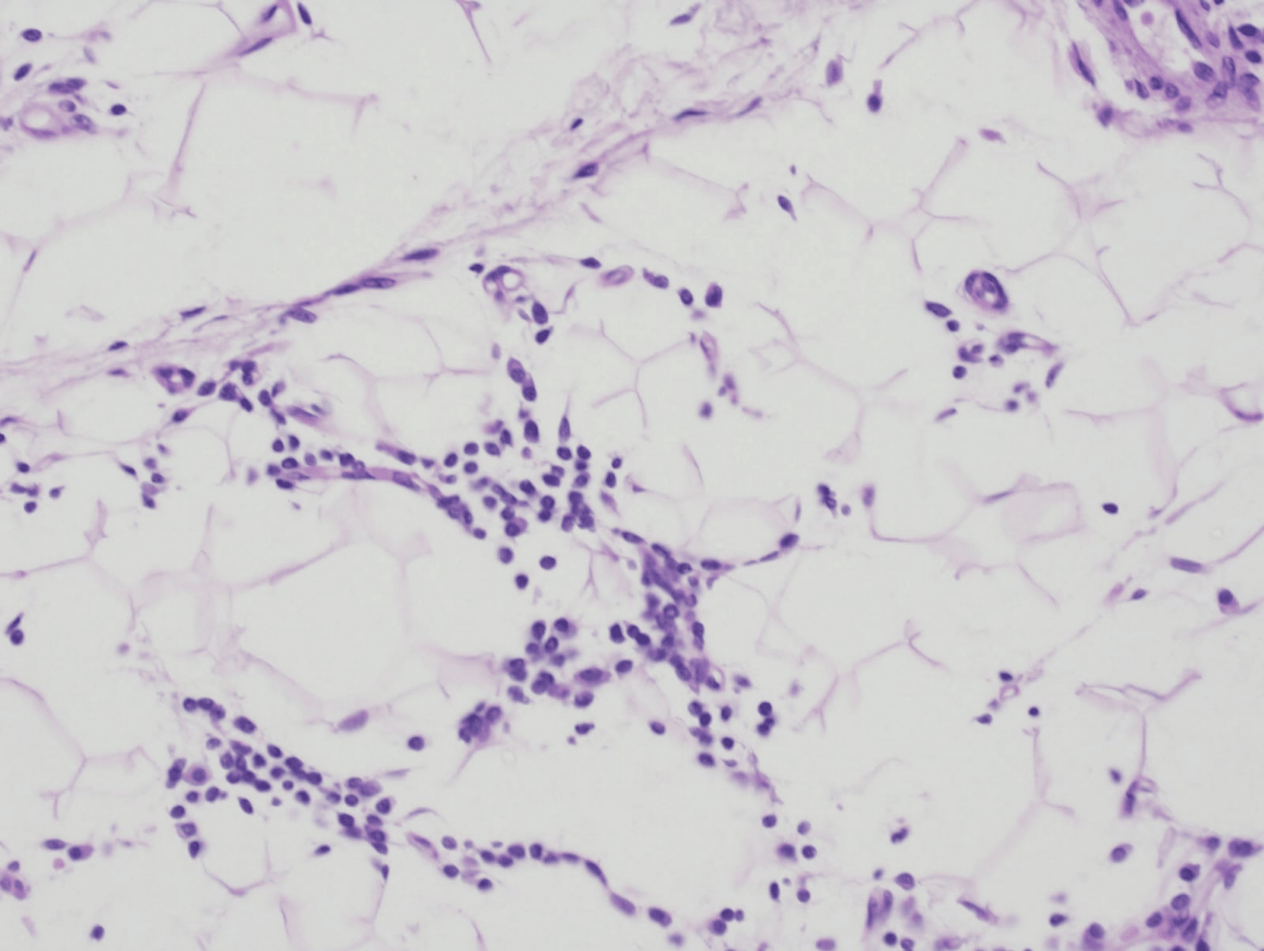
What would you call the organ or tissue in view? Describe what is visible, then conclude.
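Adipose tissue. Large, clear, polygonal spaces bounded by thin pale membranes fill most of the field.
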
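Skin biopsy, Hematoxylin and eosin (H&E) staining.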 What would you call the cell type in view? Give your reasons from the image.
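Mononuclear inflammatory cells. Many small cells with single round, dark purple nuclei. The cells lie in clusters and strands between the clear fat spaces. The cells have scant cytoplasm.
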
